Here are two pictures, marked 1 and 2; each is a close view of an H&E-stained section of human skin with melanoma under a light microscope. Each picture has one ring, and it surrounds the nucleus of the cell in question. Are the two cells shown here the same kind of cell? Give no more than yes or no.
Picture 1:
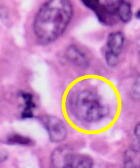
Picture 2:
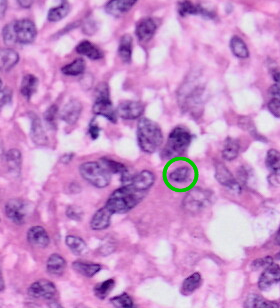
yes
